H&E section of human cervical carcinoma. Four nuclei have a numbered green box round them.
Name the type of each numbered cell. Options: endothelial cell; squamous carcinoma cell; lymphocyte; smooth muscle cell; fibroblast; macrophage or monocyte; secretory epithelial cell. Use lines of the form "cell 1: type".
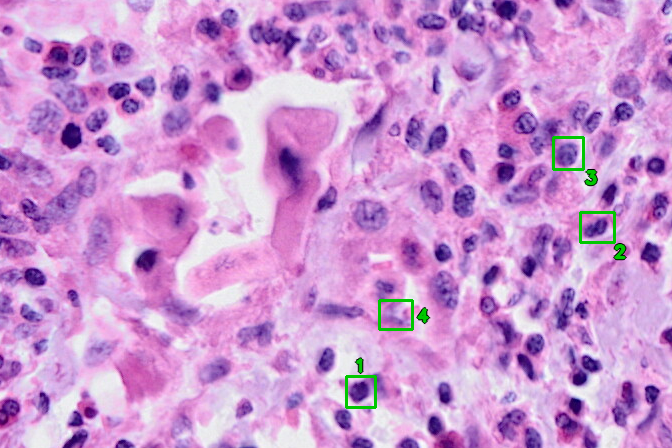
cell 1: lymphocyte
cell 2: lymphocyte
cell 3: lymphocyte
cell 4: endothelial cell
